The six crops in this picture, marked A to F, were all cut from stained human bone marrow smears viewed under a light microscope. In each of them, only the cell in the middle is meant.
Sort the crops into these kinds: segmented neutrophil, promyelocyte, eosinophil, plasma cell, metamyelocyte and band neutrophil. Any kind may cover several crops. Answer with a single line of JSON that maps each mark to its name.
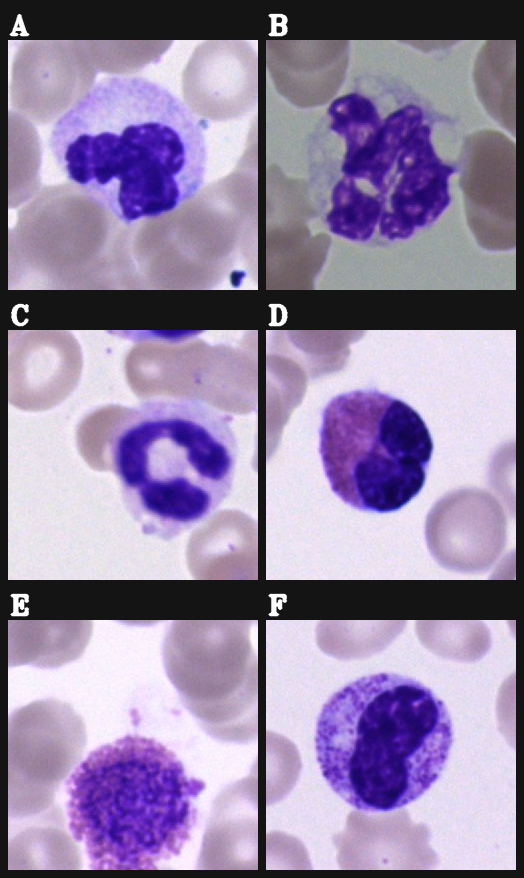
{"A": "segmented neutrophil", "B": "segmented neutrophil", "C": "segmented neutrophil", "D": "eosinophil", "E": "eosinophil", "F": "band neutrophil"}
